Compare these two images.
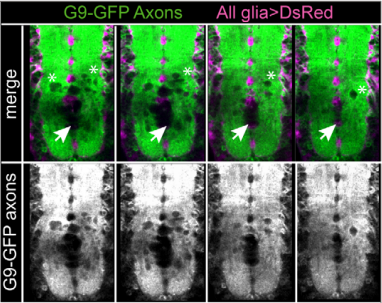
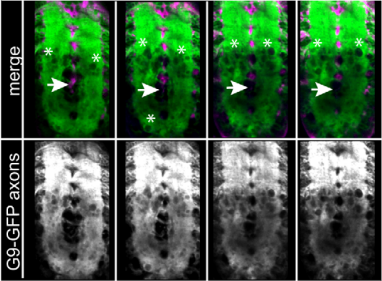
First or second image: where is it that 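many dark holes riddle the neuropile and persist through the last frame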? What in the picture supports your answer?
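Second image: many rounded dark holes spread through the green neuropile in all frames, still numerous in the last. First image: dark holes are fewer and the neuropile looks more continuous in the later frames. So: the second image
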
